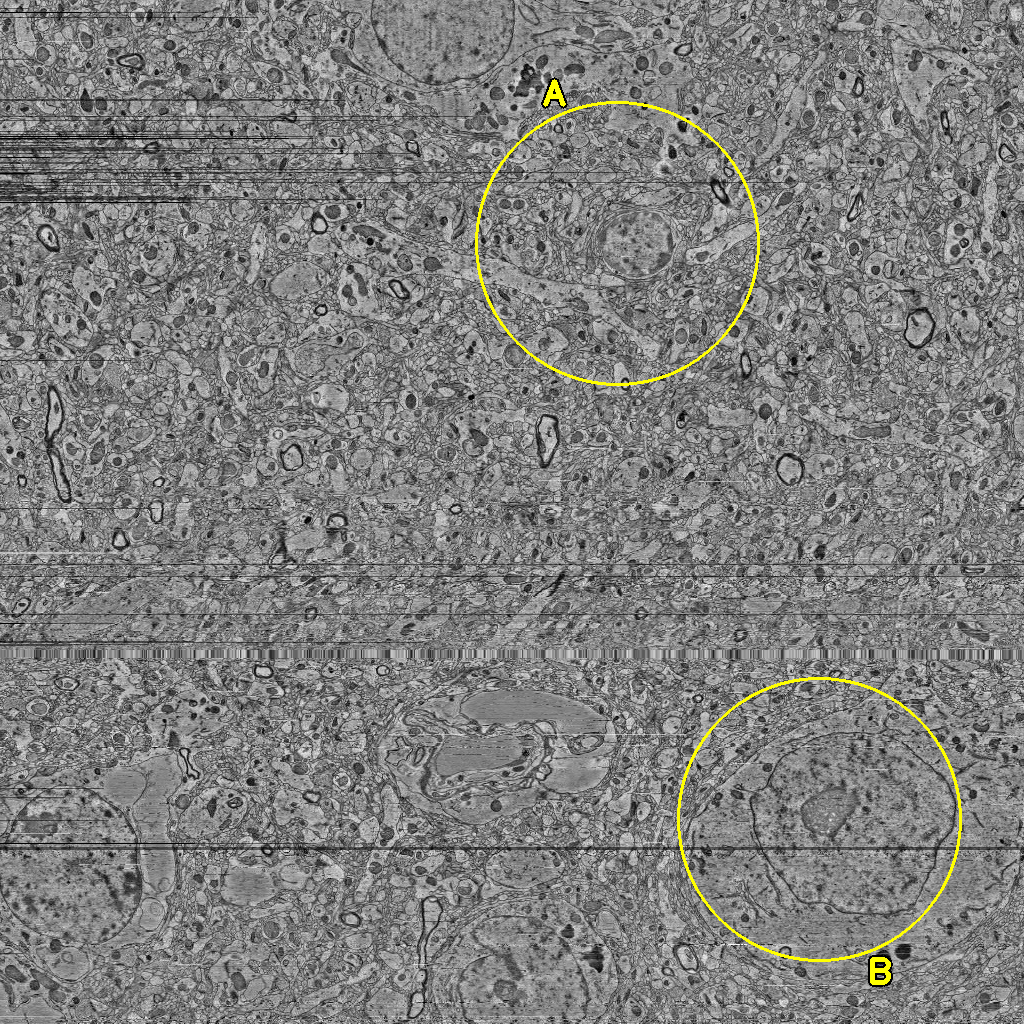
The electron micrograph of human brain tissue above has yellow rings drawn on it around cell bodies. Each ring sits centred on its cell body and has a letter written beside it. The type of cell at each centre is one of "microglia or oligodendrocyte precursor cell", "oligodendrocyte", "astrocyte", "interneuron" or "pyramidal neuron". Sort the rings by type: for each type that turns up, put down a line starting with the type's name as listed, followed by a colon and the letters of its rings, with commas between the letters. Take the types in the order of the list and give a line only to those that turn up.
microglia or oligodendrocyte precursor cell: A
pyramidal neuron: B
